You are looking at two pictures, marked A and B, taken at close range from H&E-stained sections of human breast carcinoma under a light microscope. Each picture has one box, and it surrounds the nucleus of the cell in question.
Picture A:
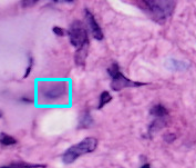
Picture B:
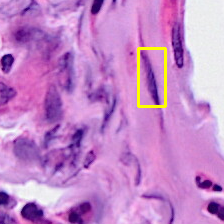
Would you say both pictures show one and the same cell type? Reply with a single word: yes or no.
no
